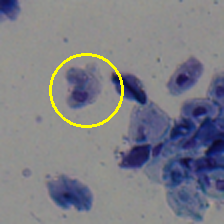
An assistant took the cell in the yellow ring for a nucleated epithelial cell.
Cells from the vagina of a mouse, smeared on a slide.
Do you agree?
I agree, it is a nucleated epithelial cell.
